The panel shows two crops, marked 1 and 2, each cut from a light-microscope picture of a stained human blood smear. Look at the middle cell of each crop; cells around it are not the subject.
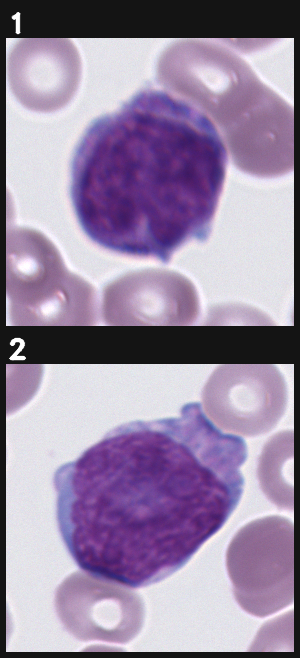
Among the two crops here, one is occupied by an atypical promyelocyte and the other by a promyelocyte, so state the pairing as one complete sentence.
The central cell of crop 1 is an atypical promyelocyte, and that of crop 2 is a promyelocyte.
